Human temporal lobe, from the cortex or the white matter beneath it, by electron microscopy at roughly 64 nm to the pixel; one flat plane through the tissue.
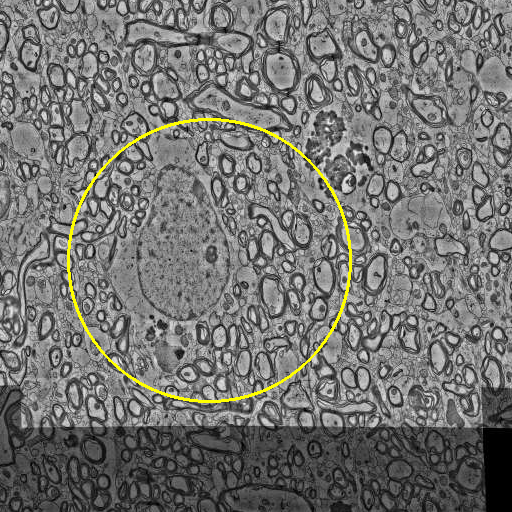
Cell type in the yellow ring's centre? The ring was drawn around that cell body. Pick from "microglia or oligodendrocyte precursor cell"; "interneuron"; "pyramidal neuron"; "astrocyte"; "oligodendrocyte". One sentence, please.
The ringed cell body is that of an astrocyte.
